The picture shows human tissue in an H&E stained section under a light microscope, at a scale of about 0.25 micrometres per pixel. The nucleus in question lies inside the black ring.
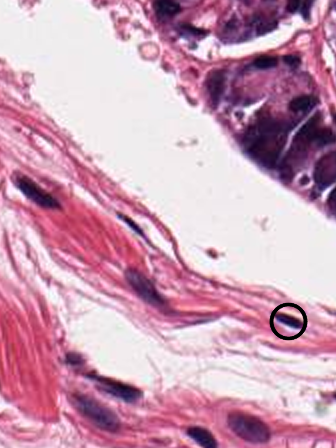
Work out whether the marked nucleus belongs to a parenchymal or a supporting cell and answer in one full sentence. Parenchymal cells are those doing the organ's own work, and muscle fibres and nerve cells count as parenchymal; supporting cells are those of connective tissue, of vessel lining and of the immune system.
The marked nucleus is part of a supporting cell.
